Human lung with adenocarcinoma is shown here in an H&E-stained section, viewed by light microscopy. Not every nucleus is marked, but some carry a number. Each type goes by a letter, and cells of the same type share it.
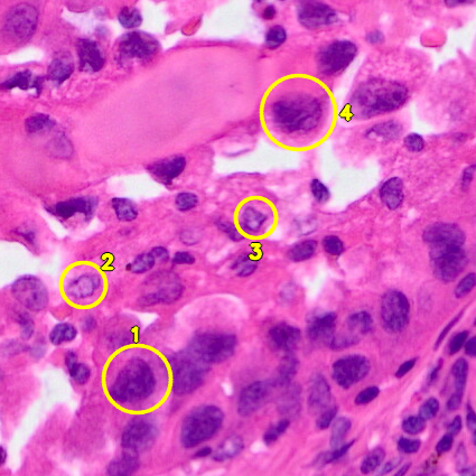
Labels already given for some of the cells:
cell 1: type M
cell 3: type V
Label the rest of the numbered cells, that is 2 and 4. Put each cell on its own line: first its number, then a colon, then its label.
2: type V
4: type M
